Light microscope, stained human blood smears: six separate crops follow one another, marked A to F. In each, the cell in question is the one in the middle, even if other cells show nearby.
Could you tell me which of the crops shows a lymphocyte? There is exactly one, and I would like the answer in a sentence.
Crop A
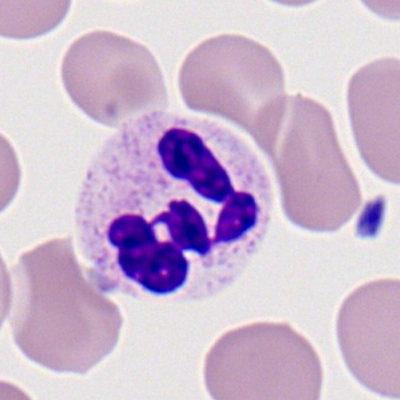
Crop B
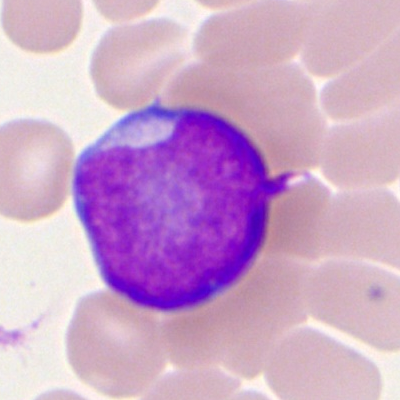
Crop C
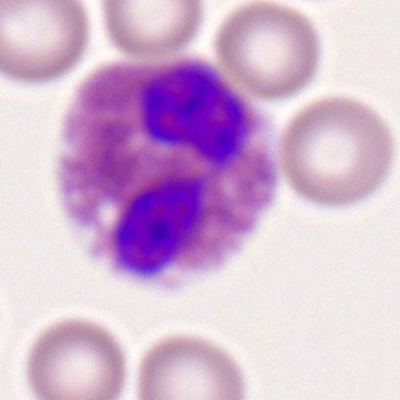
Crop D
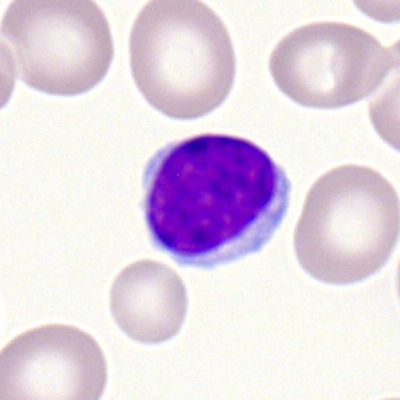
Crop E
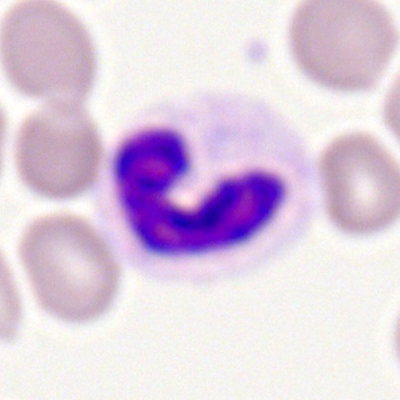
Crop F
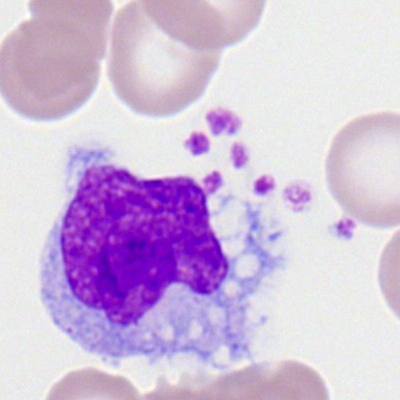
Of these crops, it is crop D that shows a lymphocyte.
